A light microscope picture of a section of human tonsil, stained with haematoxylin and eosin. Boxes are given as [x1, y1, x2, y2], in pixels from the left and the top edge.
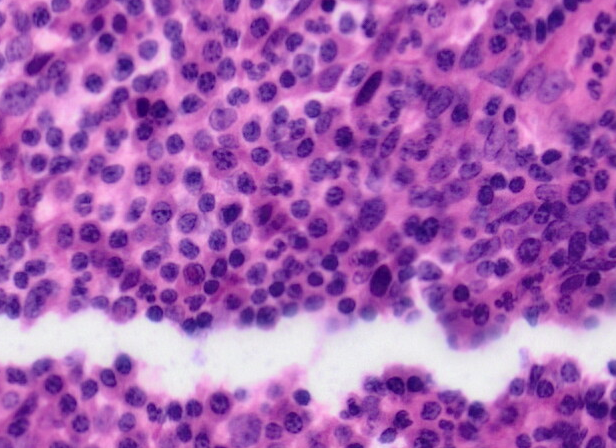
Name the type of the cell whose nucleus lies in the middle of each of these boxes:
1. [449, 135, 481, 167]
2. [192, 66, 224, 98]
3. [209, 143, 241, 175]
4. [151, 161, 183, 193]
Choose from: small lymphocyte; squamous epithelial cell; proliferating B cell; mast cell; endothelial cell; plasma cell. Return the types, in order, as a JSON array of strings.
["squamous epithelial cell", "plasma cell", "plasma cell", "plasma cell"]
